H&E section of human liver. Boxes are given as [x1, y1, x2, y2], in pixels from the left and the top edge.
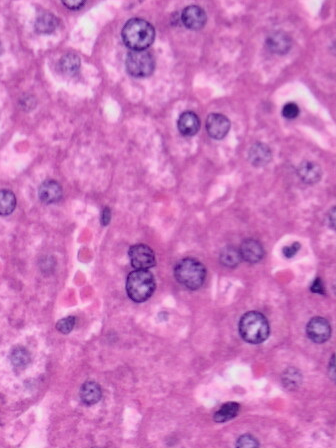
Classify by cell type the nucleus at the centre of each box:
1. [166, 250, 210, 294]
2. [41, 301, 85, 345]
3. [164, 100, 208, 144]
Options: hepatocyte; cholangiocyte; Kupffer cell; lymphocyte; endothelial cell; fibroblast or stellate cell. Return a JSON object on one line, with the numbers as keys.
{"1": "hepatocyte", "2": "Kupffer cell", "3": "hepatocyte"}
